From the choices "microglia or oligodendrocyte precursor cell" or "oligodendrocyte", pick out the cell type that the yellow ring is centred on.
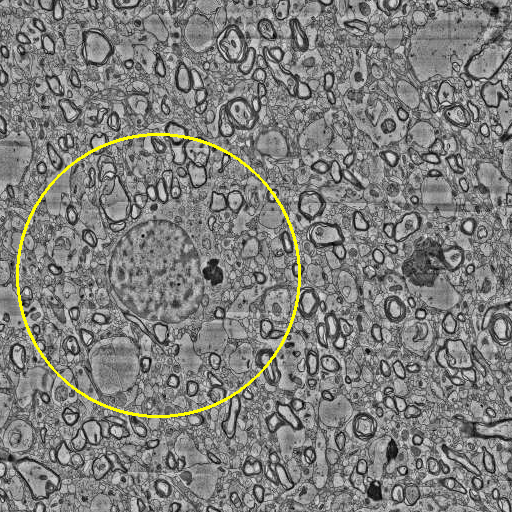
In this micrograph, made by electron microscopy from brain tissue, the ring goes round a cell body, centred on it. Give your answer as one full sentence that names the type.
The yellow ring is centred on an oligodendrocyte, whose cell body it encircles in the picture.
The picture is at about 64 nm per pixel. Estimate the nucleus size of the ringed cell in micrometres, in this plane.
The nucleus appears about 6 micrometres across in this plane.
